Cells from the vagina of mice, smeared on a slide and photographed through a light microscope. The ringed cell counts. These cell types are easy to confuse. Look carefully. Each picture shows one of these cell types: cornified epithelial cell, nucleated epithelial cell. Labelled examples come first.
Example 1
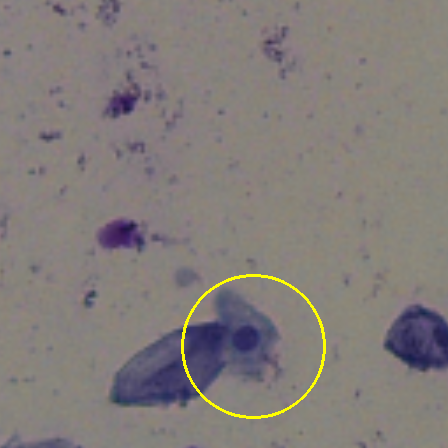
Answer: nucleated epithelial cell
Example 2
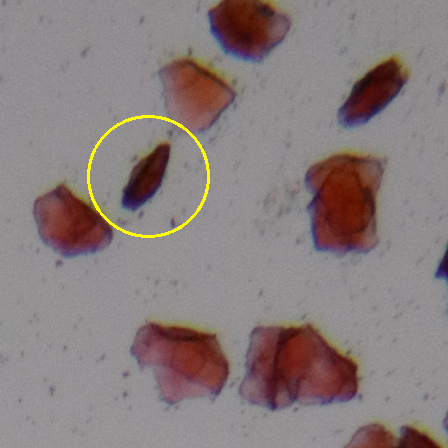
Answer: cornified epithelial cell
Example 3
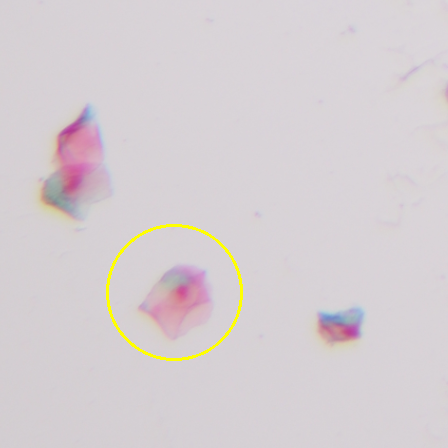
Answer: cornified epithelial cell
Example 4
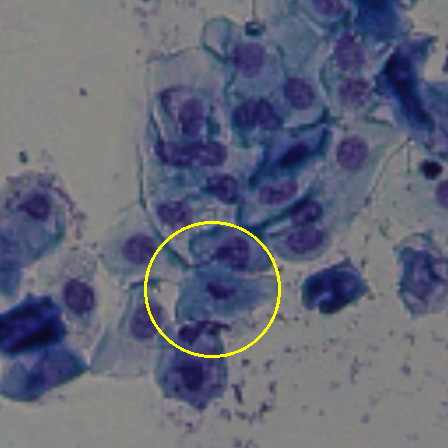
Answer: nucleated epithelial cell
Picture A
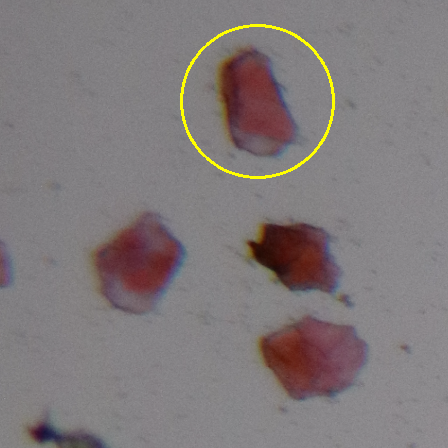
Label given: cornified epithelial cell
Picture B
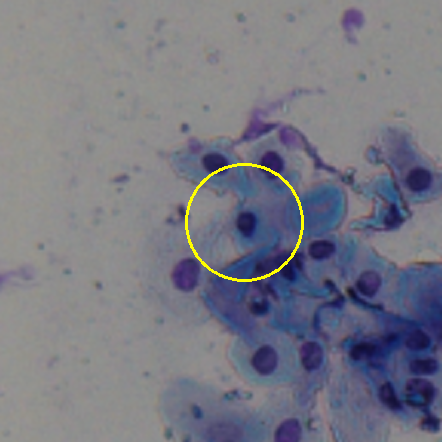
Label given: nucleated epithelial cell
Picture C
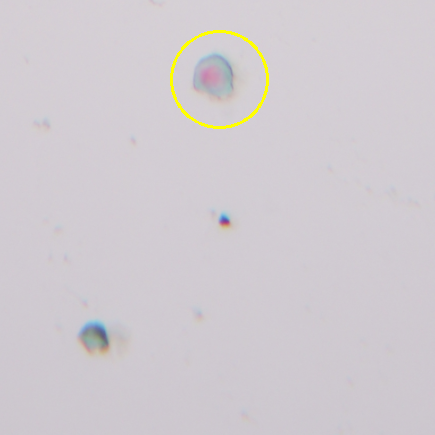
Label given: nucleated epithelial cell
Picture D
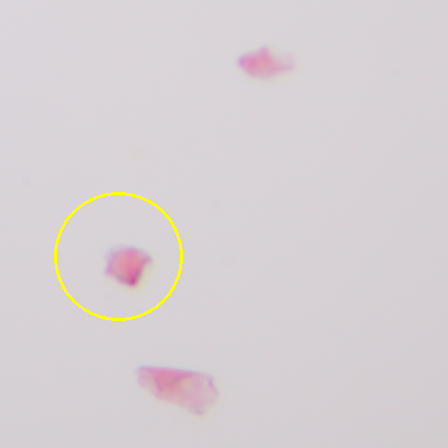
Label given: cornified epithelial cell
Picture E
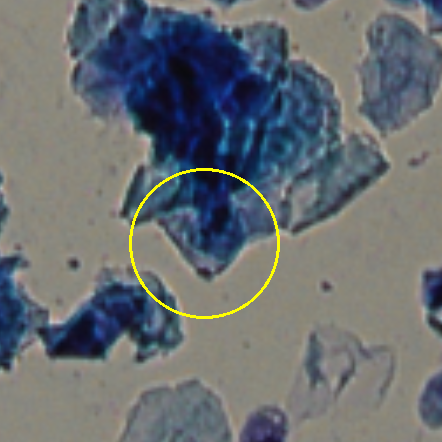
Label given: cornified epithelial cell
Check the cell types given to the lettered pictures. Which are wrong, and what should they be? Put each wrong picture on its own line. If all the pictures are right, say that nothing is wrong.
All correct.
